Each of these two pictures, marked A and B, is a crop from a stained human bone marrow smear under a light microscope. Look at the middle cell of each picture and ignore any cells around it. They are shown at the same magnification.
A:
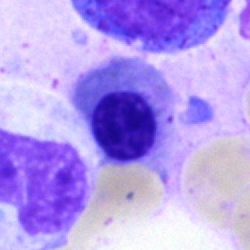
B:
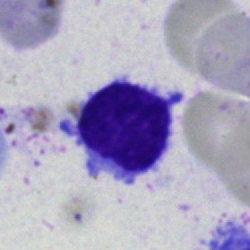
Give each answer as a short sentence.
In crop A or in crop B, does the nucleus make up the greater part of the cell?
In crop B the nucleus takes up the larger part of its cell.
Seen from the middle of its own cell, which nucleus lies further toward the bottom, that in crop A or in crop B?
It is the nucleus in crop A that lies further toward the bottom of its cell.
